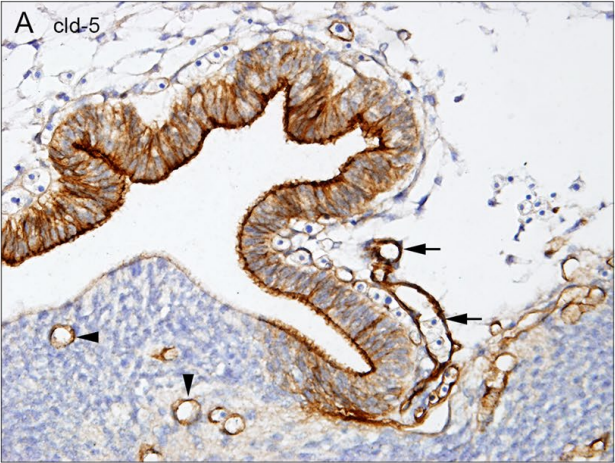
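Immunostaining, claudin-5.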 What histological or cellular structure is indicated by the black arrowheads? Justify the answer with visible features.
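The arrowheads point to round profiles with brown rims within the blue-stained dense tissue below the epithelium. Each profile has an open lumen.
Conclusion: parenchymal blood vessels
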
